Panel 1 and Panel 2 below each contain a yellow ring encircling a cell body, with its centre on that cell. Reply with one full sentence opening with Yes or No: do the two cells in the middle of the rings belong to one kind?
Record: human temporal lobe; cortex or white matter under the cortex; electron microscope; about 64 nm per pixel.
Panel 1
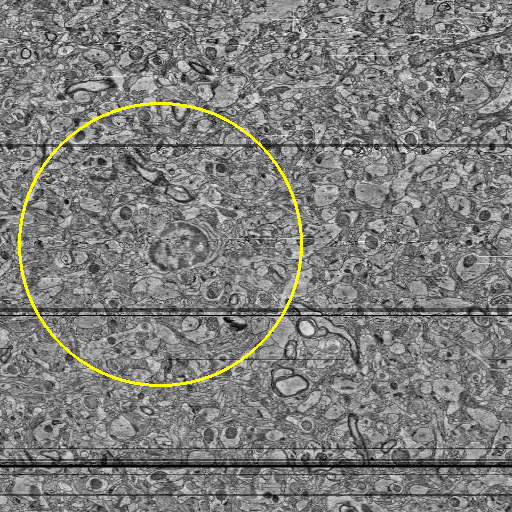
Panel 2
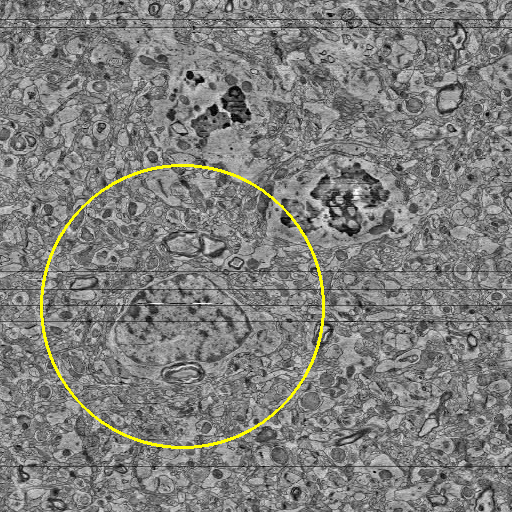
Yes, the cells at the middle of the Panel 1 ring and the Panel 2 ring are of one kind.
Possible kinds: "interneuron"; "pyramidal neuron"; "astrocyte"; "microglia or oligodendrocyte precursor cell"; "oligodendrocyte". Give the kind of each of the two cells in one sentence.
Each cell, in the first picture and the second, is a microglial cell or oligodendrocyte precursor cell.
